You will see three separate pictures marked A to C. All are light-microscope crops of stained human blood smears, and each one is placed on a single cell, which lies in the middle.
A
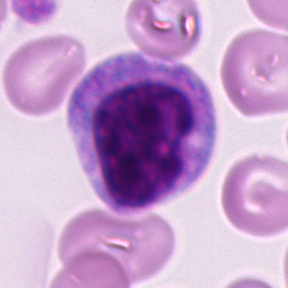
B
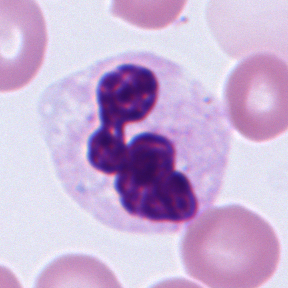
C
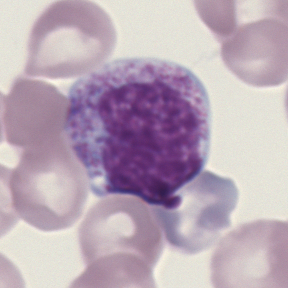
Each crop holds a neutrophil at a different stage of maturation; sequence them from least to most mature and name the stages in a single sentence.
Along the maturation line, from least to most mature, sit crop C (a myelocyte), crop A (a metamyelocyte) and crop B (a segmented neutrophil).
